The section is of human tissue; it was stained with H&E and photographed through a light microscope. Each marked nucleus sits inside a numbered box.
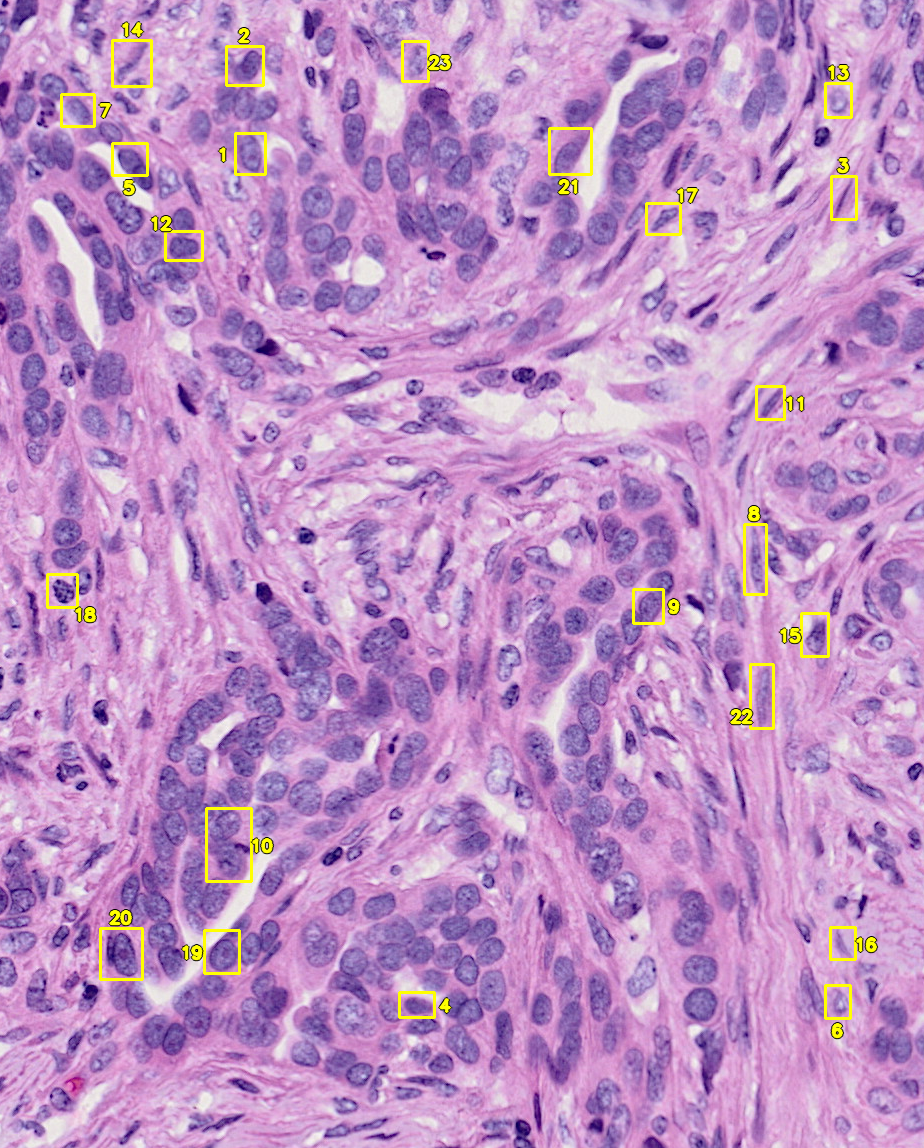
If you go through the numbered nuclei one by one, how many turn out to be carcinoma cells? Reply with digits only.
11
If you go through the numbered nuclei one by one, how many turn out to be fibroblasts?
11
